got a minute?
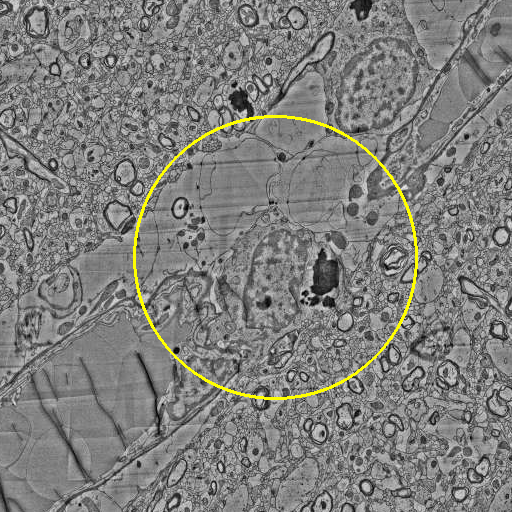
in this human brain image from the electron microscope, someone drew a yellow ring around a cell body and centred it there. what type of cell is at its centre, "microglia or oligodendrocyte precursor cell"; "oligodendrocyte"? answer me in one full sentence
It's an oligodendrocyte at the middle of that yellow ring in the shot.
